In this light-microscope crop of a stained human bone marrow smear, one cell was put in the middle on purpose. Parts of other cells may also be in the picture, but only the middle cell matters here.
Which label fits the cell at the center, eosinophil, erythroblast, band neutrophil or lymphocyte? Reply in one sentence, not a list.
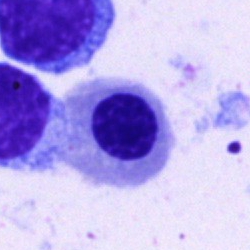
The cell around which this crop is centred is an erythroblast.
